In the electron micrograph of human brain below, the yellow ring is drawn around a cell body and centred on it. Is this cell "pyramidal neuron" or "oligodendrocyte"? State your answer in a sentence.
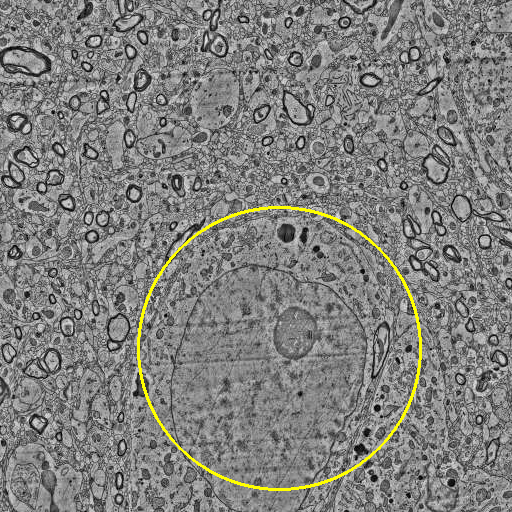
The cell in the middle of the ring is a pyramidal neuron.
